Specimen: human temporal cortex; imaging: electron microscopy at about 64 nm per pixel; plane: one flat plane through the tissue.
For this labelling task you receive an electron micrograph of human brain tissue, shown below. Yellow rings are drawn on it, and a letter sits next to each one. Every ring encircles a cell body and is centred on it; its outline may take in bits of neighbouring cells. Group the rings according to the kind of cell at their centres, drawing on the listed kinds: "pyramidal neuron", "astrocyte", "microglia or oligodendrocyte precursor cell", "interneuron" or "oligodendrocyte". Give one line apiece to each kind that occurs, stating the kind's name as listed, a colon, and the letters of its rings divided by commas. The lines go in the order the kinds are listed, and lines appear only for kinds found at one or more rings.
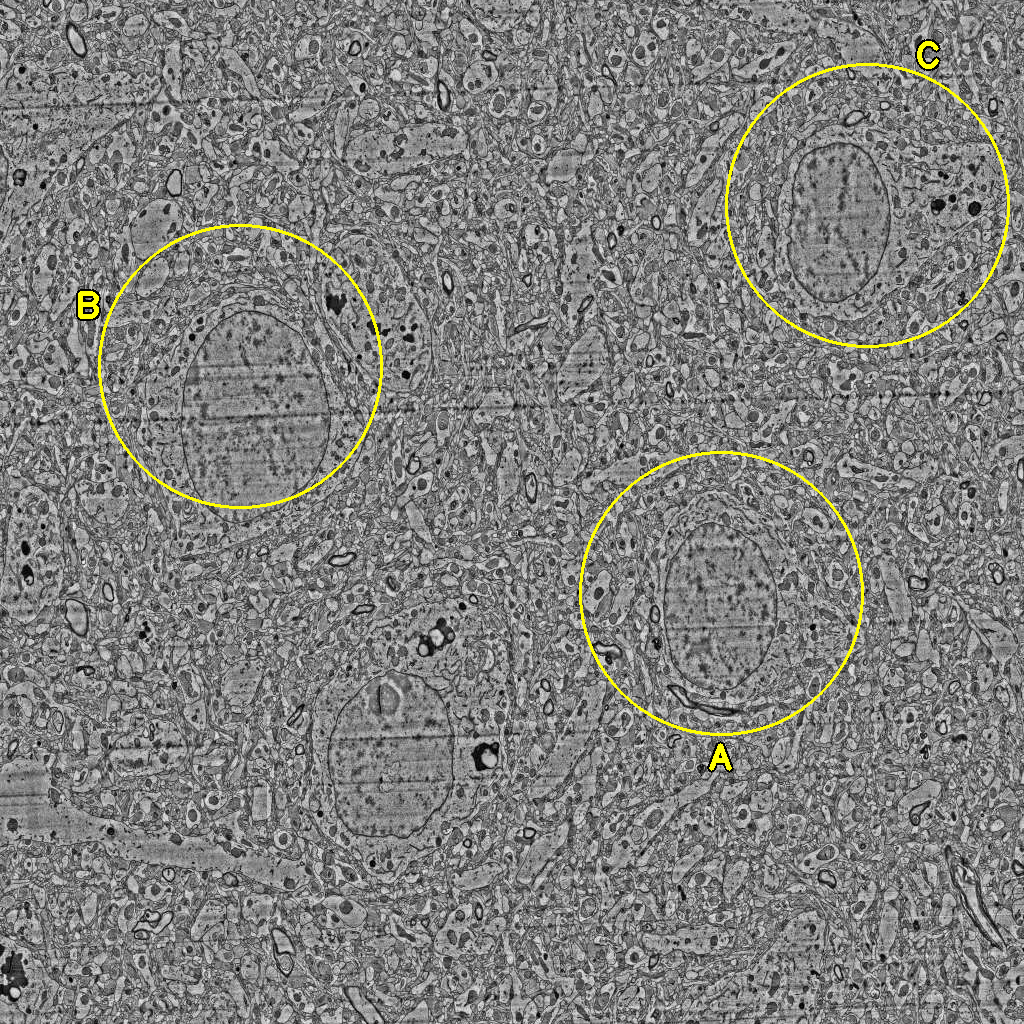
pyramidal neuron: A, B, C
